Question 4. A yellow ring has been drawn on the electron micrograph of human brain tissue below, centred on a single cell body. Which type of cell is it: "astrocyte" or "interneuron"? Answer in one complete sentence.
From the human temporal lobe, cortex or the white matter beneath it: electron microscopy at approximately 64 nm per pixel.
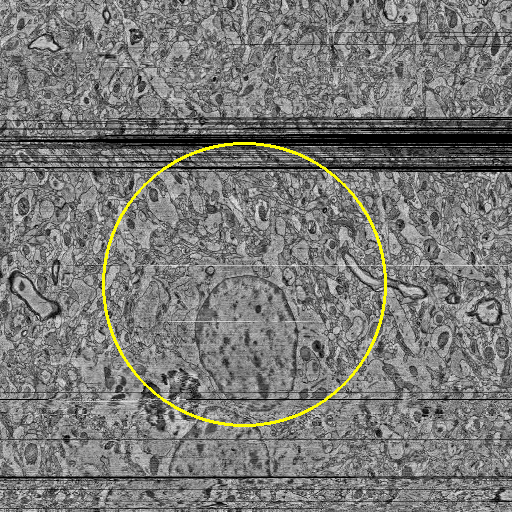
This cell body belongs to an astrocyte.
